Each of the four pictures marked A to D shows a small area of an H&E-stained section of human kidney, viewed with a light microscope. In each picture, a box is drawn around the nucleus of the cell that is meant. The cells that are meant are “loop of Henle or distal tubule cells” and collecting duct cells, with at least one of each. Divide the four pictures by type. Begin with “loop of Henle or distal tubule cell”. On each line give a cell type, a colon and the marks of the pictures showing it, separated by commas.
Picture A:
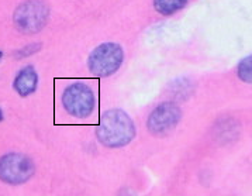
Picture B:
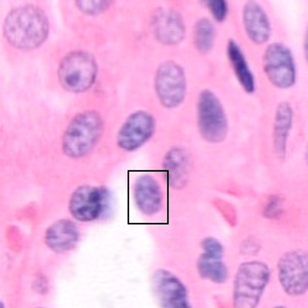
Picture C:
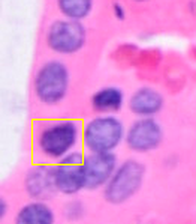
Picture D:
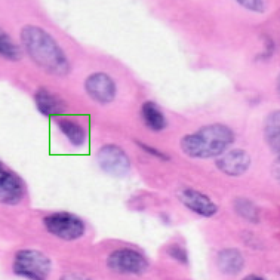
loop of Henle or distal tubule cell: A, B, D
collecting duct cell: C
